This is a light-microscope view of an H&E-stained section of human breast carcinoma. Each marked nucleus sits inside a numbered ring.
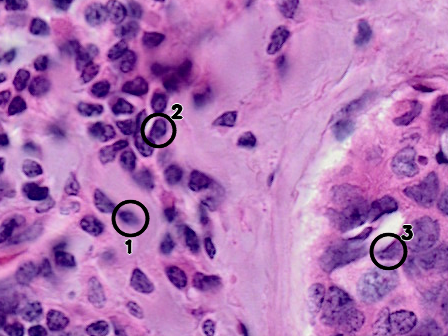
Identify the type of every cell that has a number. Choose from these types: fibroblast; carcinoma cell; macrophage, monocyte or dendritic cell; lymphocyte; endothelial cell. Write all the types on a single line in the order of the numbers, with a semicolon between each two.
lymphocyte; lymphocyte; carcinoma cell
